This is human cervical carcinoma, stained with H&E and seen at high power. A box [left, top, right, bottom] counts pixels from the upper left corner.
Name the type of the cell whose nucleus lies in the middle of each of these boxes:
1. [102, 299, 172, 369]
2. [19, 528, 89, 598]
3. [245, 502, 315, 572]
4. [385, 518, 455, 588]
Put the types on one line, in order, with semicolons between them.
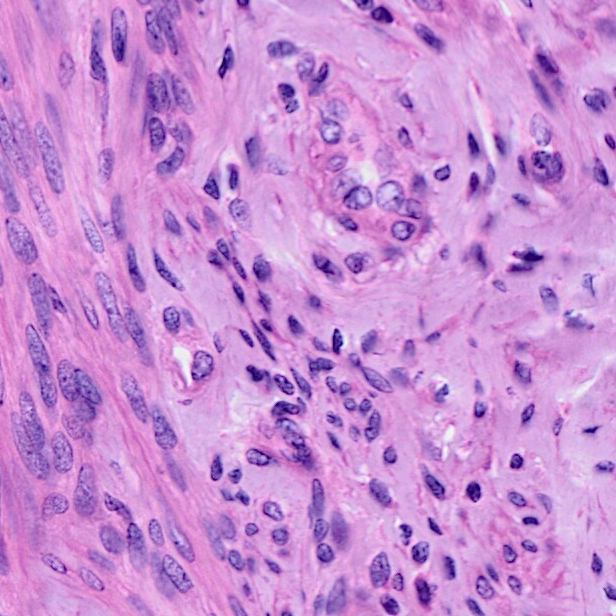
smooth muscle cell; smooth muscle cell; smooth muscle cell; lymphocyte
